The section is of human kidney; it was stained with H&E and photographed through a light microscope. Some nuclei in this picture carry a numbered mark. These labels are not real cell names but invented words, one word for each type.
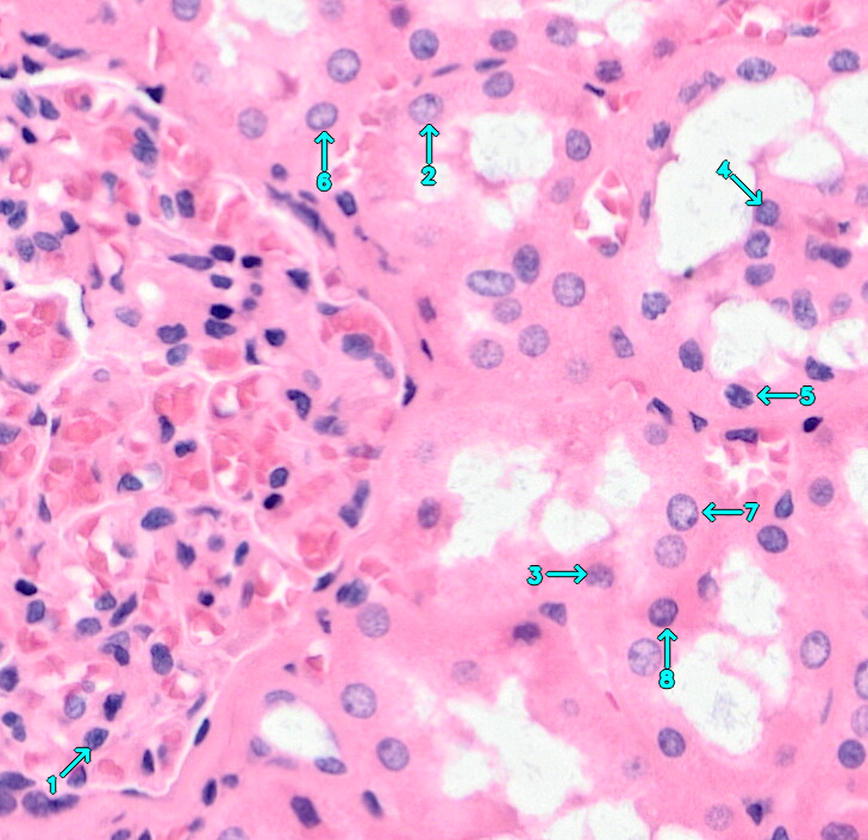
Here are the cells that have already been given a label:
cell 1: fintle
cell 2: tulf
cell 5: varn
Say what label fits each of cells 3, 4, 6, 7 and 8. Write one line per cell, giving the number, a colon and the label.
3: tulf
4: varn
6: tulf
7: tulf
8: tulf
